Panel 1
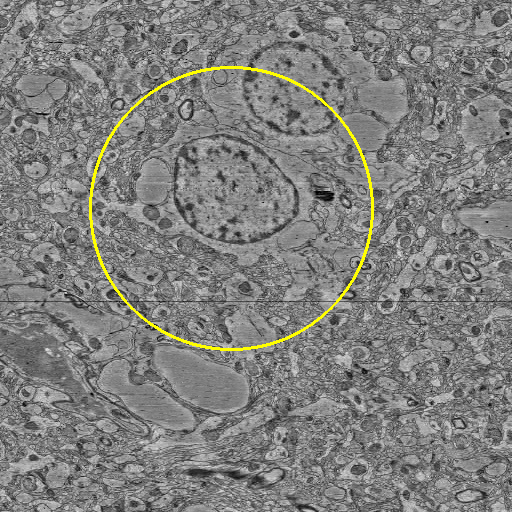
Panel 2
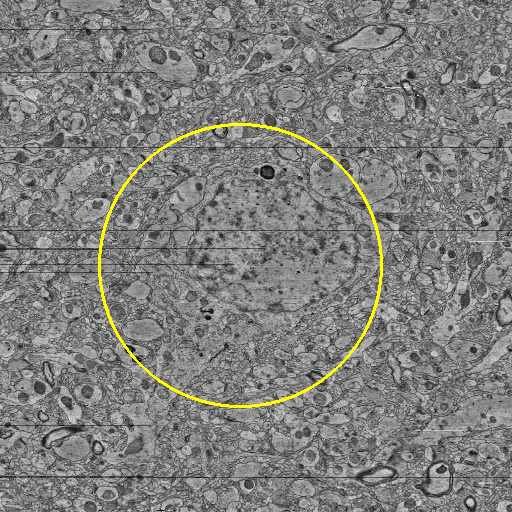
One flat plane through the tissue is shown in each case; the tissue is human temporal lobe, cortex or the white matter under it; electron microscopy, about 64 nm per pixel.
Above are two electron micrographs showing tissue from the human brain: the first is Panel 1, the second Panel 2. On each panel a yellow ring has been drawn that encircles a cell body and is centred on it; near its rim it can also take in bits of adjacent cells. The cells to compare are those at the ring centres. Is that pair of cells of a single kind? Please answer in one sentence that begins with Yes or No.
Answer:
No, the ring-centred cells of Panel 1 and Panel 2 belong to two kinds.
